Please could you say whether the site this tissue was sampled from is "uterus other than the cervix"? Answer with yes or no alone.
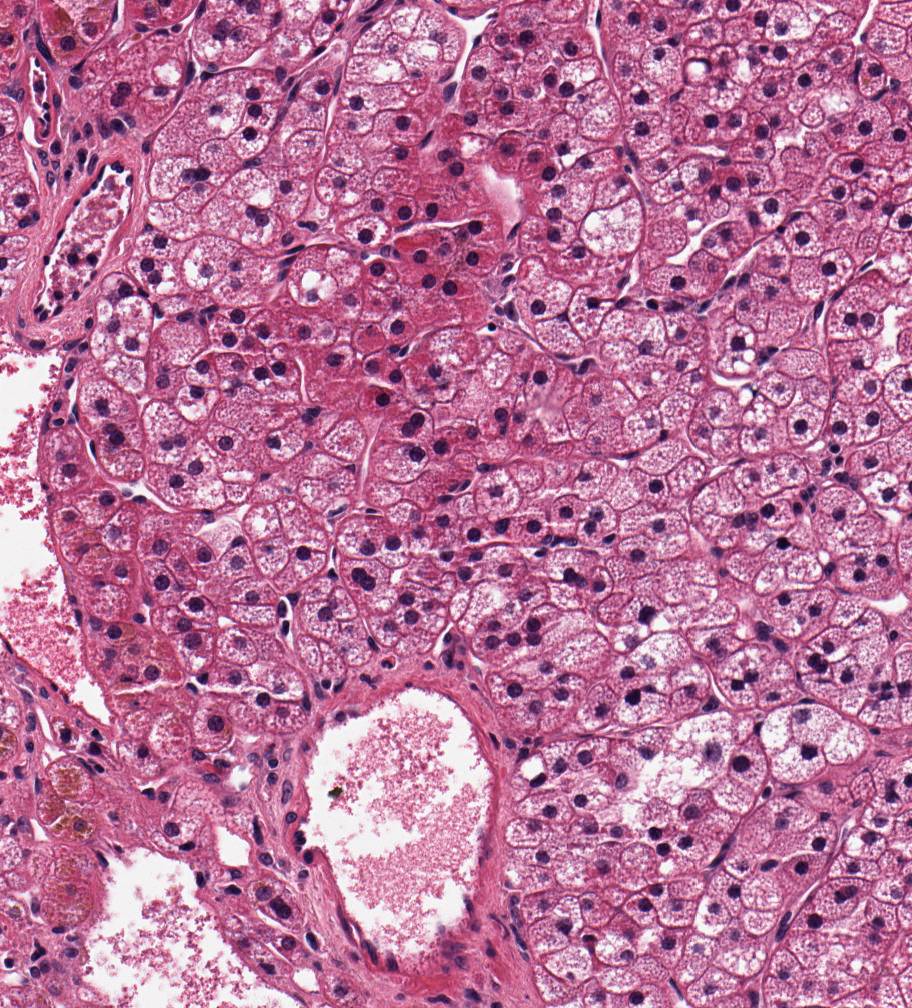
no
